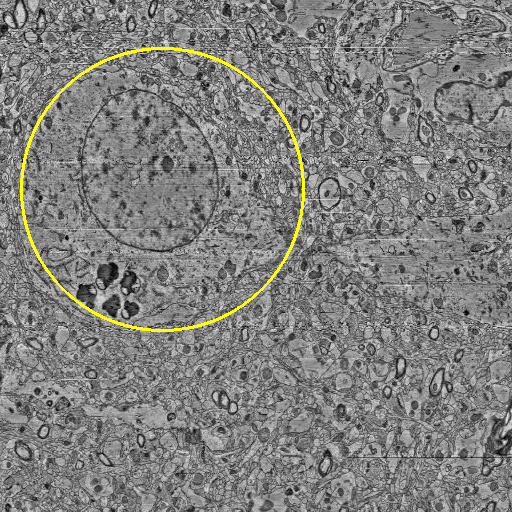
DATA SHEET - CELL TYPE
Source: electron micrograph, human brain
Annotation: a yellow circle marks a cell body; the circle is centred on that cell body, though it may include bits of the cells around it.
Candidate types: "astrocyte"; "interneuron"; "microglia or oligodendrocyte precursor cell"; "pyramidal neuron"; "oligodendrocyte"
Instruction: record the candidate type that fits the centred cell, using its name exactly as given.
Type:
pyramidal neuron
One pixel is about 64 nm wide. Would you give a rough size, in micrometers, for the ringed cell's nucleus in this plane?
About 11 by 9 micrometres in this plane.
